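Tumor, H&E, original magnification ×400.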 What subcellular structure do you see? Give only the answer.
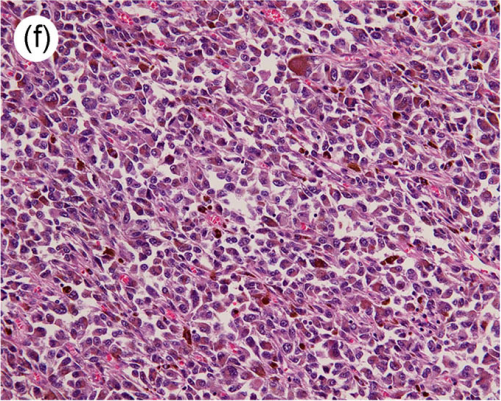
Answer: tiny tan granules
